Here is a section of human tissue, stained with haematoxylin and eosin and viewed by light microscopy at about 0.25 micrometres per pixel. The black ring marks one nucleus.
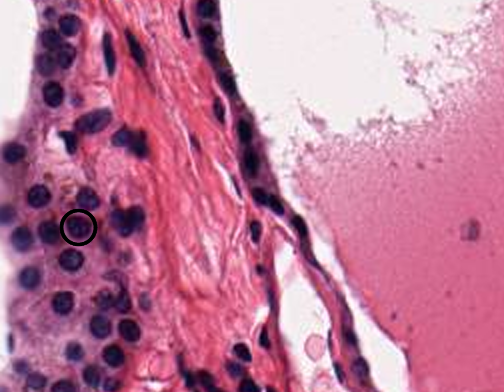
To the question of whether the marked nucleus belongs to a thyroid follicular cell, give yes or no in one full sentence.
Yes, the marked nucleus is part of a thyroid follicular cell.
